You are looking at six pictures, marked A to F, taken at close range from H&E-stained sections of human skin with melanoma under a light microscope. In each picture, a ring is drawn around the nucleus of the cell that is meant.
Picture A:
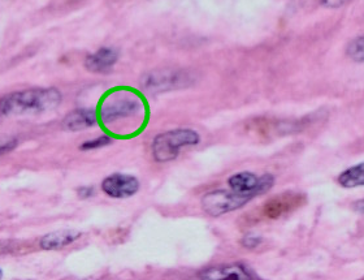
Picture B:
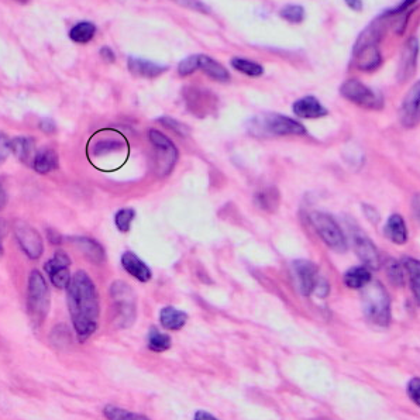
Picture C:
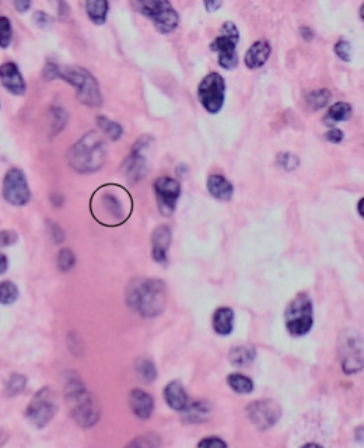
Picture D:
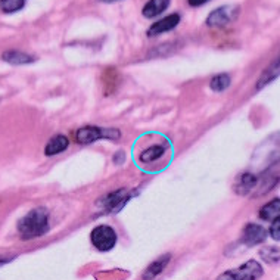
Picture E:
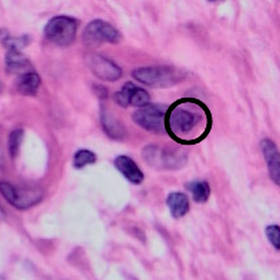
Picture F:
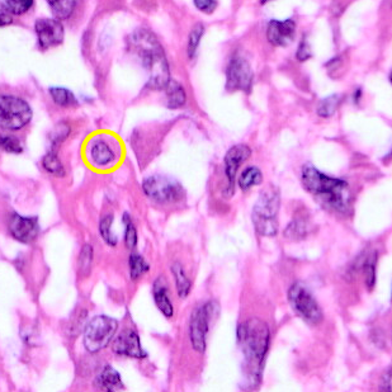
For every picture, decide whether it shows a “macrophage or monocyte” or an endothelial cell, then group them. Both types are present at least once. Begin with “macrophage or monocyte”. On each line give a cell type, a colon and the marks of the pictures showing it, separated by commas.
macrophage or monocyte: D, F
endothelial cell: A, B, C, E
